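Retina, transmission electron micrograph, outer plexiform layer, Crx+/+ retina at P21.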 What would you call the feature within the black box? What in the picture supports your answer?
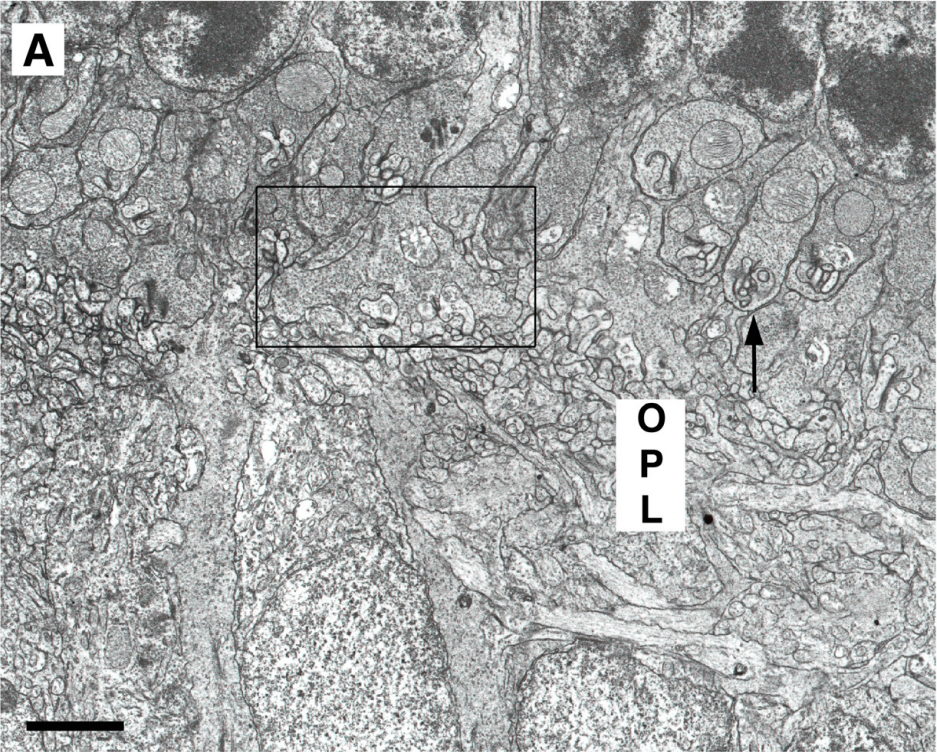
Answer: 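The box encloses a broad, flat terminal much wider than the neighbouring small terminals. Several separate invaginating profiles line the base of this terminal.
Answer: Cone terminals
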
